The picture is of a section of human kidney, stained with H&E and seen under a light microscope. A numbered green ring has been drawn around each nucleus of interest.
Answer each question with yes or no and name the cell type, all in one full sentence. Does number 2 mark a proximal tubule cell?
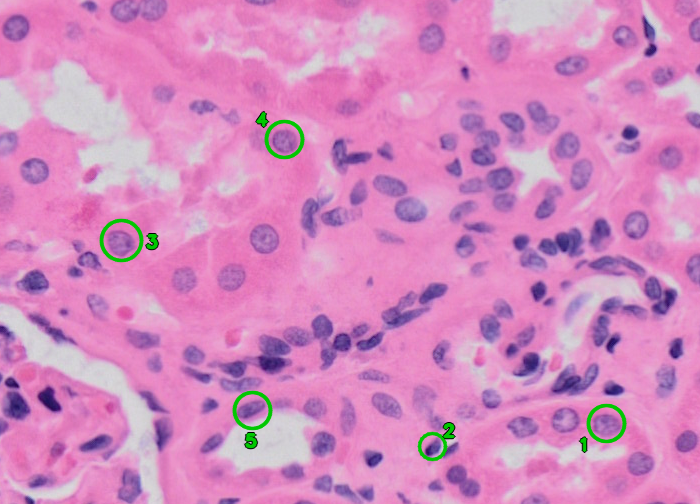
No, cell number 2 is identified as an endothelial cell, not as a proximal tubule cell.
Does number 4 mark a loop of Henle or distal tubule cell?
No, the cell carrying number 4 is a proximal tubule cell rather than a loop of Henle or distal tubule cell.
